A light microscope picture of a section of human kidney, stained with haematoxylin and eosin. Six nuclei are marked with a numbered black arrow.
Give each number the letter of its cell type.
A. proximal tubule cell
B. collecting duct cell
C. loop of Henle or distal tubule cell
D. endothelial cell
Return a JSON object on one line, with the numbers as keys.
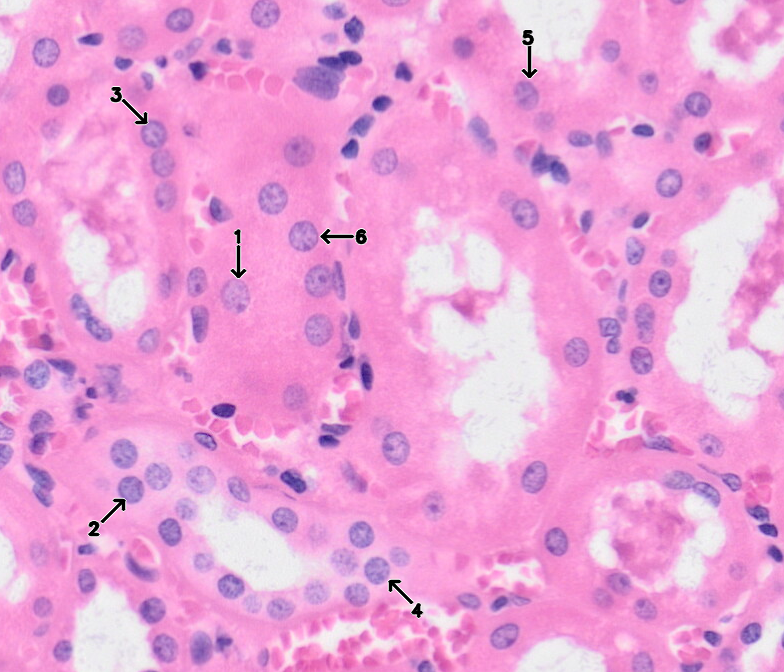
{"1": "A", "2": "B", "3": "A", "4": "B", "5": "A", "6": "A"}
